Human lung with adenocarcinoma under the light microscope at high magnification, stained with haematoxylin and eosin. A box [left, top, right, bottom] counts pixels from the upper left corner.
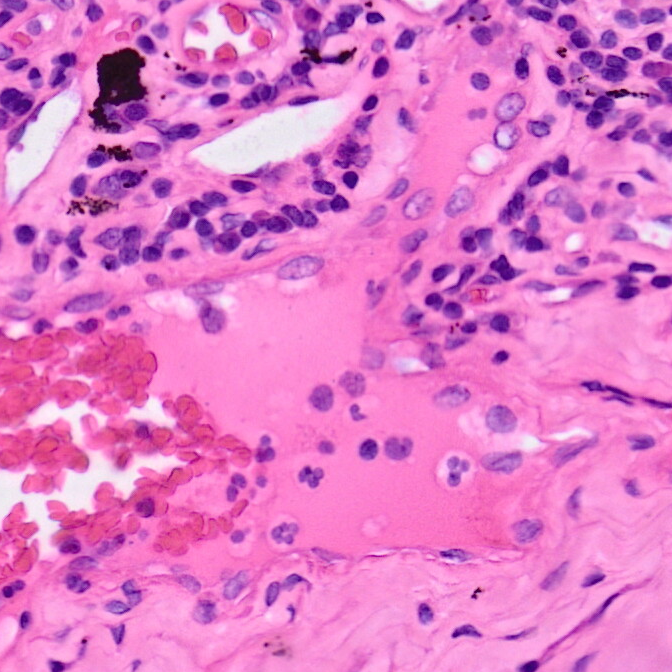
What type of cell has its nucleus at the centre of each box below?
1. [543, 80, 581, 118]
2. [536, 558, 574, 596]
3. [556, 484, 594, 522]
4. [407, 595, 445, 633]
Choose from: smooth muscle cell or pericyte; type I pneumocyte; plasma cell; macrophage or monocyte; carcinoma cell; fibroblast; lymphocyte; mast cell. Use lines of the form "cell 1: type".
cell 1: lymphocyte
cell 2: fibroblast
cell 3: fibroblast
cell 4: mast cell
